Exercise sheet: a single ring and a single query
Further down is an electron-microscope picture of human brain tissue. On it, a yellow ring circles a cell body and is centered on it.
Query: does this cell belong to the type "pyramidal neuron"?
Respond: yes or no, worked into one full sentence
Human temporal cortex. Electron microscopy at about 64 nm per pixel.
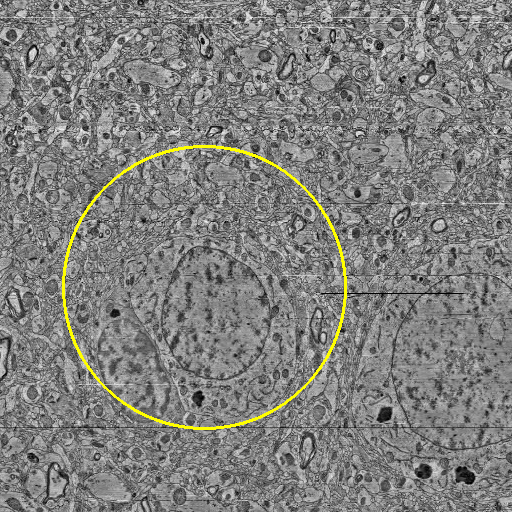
Yes, this ringed cell, found at the center of the ring in the picture, is of that type.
